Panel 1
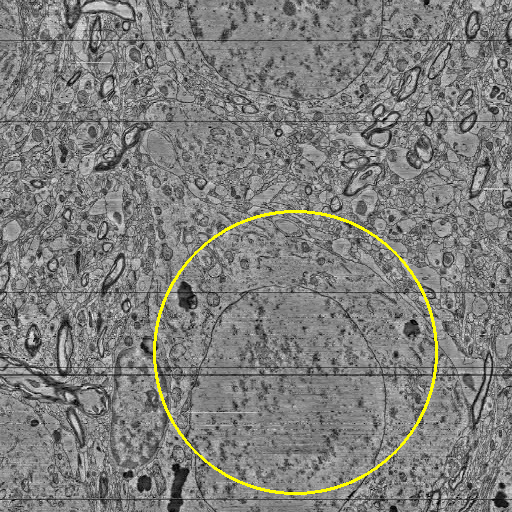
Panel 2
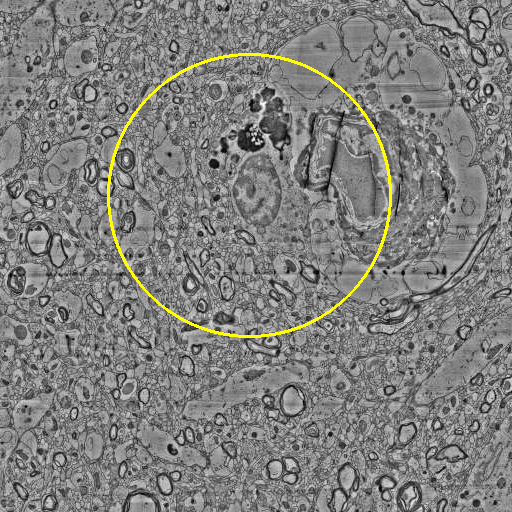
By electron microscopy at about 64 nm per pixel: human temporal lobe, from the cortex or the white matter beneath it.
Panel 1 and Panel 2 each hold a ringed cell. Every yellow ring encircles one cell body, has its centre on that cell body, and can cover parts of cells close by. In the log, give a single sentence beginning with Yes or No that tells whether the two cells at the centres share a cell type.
No, in Panel 1 and Panel 2 the centred cells are of two cell types.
